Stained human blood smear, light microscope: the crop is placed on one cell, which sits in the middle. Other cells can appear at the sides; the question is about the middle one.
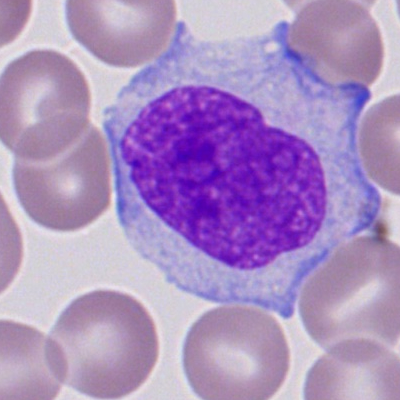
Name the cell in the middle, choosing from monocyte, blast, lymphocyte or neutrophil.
monocyte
